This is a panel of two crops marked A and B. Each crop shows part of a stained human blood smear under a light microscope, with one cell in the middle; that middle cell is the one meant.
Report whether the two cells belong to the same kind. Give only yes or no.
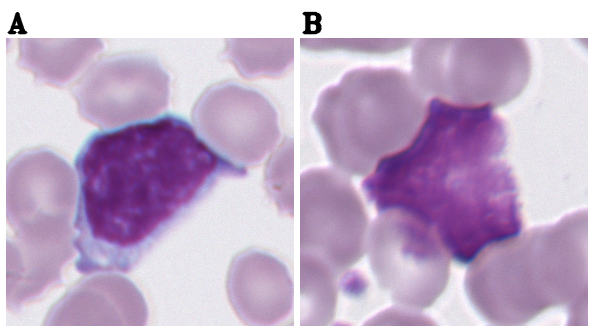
no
